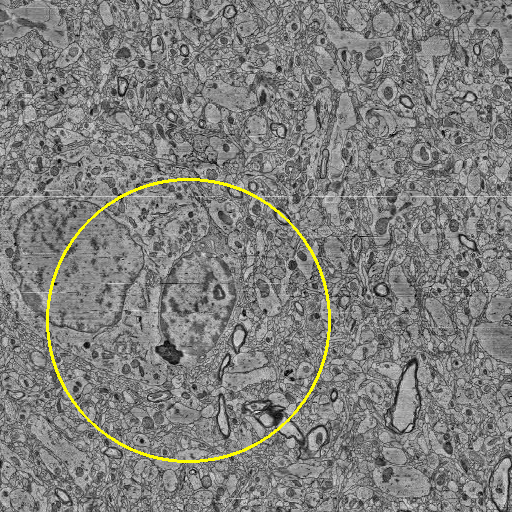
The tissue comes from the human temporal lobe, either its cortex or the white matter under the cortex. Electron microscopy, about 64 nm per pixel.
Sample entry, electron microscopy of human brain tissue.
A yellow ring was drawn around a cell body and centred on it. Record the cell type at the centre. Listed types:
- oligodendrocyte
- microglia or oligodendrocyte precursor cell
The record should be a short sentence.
The cell at the ring's centre is an oligodendrocyte.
